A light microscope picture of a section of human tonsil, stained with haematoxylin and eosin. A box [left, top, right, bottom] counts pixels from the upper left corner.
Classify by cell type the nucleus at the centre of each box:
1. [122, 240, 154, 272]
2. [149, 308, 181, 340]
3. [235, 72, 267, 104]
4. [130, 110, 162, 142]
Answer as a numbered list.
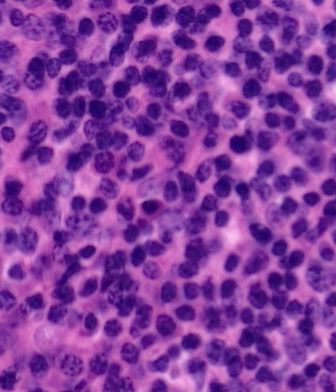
1. small lymphocyte
2. plasma cell
3. small lymphocyte
4. small lymphocyte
